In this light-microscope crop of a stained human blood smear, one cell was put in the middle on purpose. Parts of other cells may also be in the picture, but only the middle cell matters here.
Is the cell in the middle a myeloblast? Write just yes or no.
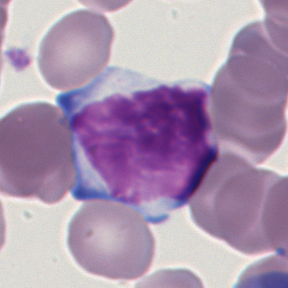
yes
